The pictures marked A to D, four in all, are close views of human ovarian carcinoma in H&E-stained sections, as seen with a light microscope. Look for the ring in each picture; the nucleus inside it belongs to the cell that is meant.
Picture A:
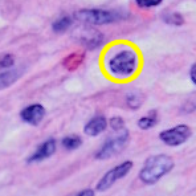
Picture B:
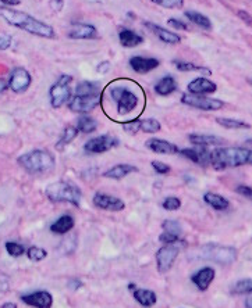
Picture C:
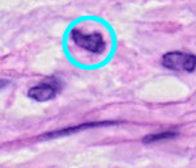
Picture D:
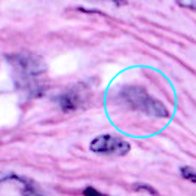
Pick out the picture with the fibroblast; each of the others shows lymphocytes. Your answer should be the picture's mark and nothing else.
D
